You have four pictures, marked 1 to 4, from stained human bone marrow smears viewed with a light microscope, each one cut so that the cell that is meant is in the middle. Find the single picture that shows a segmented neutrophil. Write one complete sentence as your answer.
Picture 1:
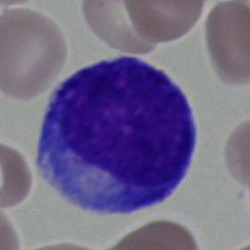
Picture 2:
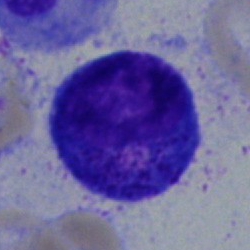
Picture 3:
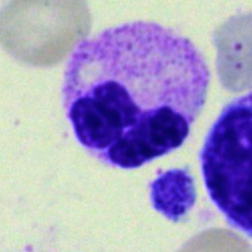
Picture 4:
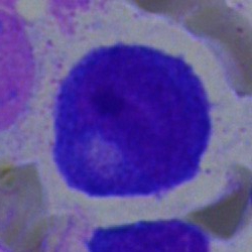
Picture 3 shows the segmented neutrophil.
